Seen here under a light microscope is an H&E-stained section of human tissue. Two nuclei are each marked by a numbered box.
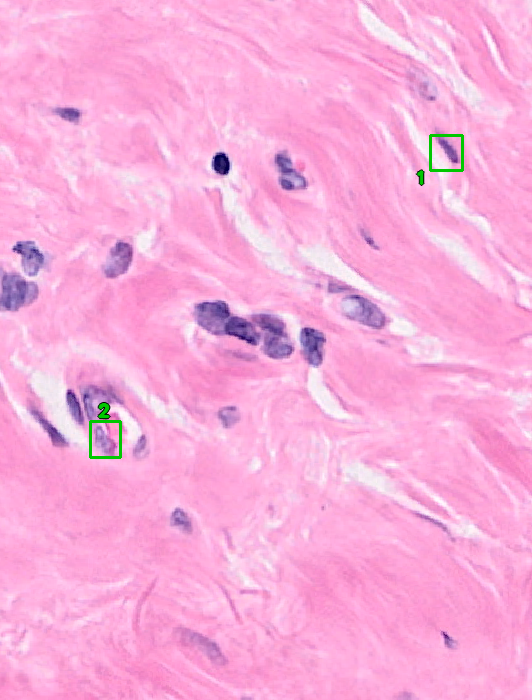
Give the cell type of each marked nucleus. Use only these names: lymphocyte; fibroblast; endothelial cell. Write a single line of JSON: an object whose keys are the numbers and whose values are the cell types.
{"1": "fibroblast", "2": "endothelial cell"}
